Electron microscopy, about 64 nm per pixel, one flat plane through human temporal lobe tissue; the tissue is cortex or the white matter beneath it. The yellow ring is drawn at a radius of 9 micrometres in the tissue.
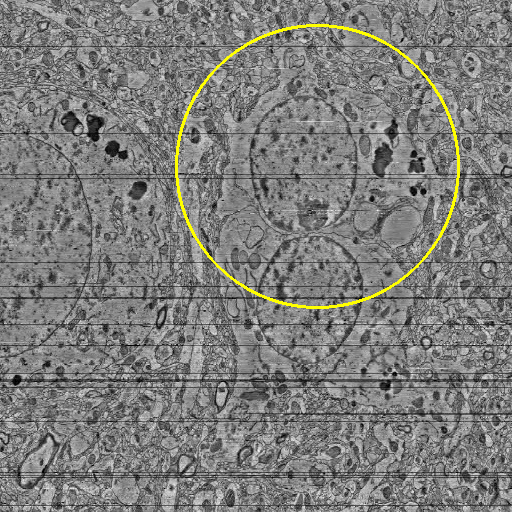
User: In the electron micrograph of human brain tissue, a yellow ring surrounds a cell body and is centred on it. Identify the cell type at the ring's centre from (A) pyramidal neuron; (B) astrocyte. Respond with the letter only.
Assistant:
B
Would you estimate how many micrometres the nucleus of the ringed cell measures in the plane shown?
The ringed cell's nucleus measures approximately 9 by 7 micrometres in this plane.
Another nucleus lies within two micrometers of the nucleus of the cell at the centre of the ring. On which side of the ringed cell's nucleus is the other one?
The second nucleus lies below it.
